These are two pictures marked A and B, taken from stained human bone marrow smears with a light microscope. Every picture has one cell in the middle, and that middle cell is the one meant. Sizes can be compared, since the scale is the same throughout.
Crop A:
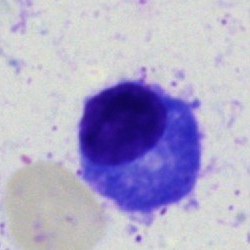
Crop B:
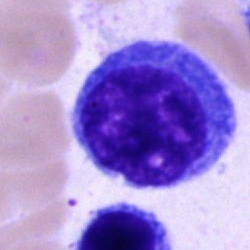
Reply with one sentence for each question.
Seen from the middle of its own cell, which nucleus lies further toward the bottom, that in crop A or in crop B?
The nucleus in crop B lies further toward the bottom of its cell.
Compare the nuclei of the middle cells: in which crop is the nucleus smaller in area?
Smaller is the nucleus in crop A, and the other is about 2 times as large in area.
